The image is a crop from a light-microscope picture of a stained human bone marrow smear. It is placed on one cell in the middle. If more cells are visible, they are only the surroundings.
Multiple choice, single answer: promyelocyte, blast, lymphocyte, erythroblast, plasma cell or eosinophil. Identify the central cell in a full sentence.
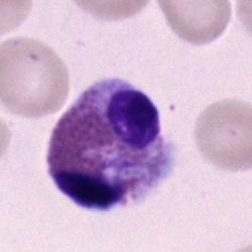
At the middle of the frame sits an eosinophil.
